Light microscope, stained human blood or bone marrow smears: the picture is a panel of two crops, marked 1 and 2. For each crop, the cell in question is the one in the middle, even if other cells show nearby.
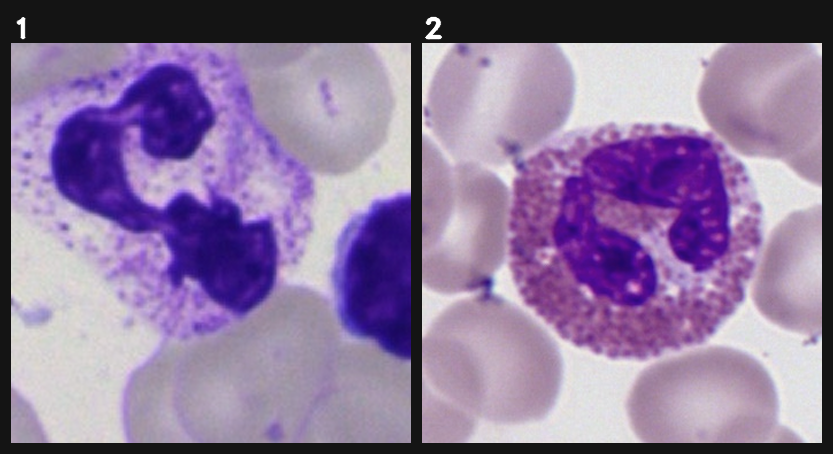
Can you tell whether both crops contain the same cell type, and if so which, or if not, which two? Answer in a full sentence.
No, crop 1 shows a neutrophil, with an eosinophil shown in crop 2.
